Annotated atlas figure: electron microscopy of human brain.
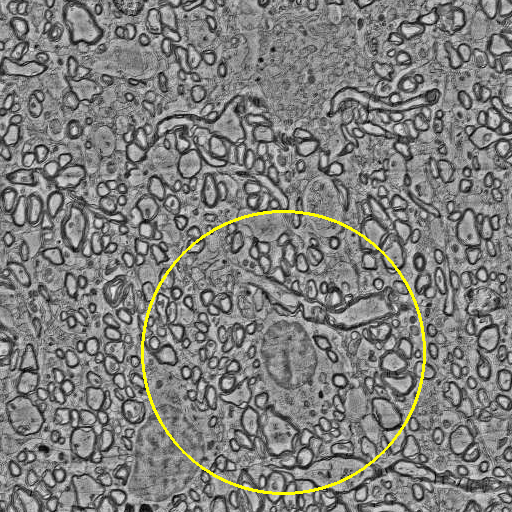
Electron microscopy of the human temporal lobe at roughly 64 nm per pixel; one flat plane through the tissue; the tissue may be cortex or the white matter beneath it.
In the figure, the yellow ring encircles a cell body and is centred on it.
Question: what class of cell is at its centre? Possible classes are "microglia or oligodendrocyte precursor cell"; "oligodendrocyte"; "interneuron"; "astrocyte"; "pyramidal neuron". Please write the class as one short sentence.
The yellow ring is drawn around an oligodendrocyte.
